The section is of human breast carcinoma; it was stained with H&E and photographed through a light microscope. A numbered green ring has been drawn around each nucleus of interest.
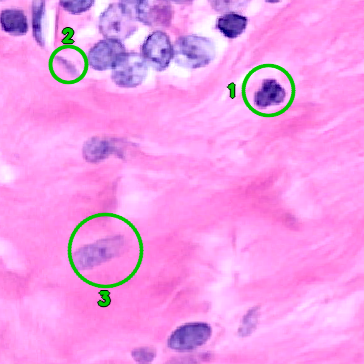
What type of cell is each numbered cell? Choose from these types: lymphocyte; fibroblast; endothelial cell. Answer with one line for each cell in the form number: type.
1: lymphocyte
2: endothelial cell
3: fibroblast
